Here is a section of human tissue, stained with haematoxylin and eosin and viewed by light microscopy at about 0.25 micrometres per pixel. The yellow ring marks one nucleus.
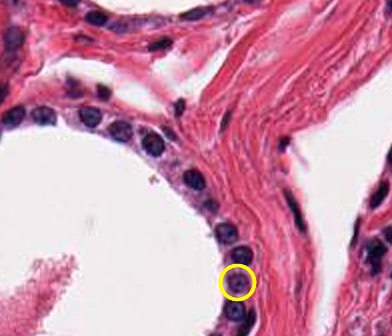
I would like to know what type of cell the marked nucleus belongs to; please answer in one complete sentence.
In this picture, the marked nucleus belongs to a thyroid follicular cell.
